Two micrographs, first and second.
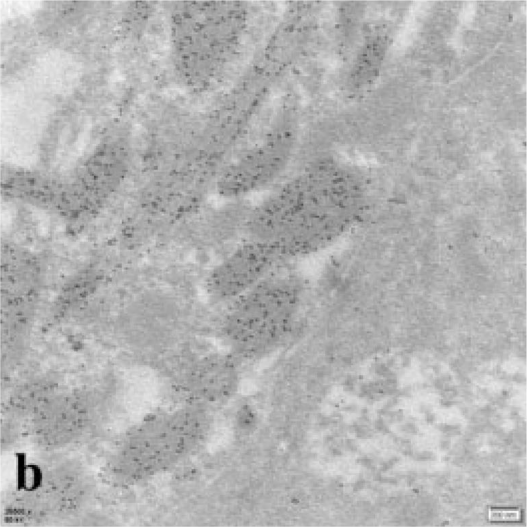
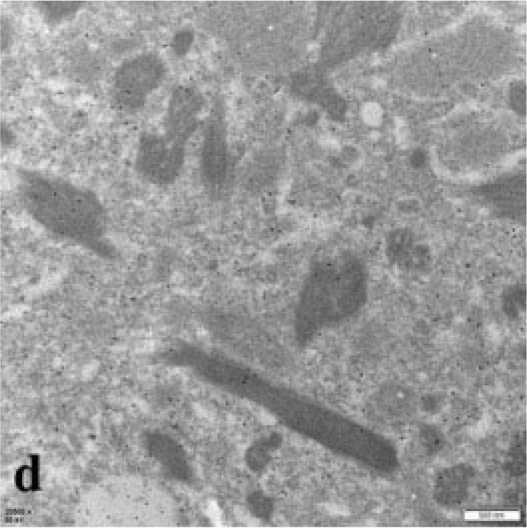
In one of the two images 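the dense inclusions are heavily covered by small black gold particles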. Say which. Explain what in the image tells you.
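Second image: the elongated dense bodies carry few black dots, no more than the background. First image: the elongated dense bodies are densely studded with black dots.
Conclusion: the first image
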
